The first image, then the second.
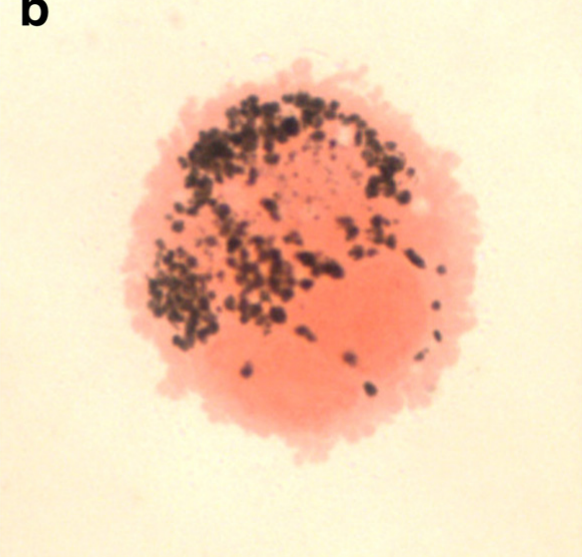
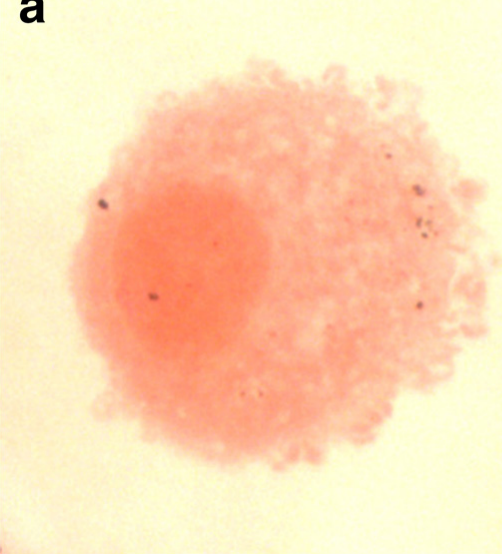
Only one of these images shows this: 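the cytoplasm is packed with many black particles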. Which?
the first image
